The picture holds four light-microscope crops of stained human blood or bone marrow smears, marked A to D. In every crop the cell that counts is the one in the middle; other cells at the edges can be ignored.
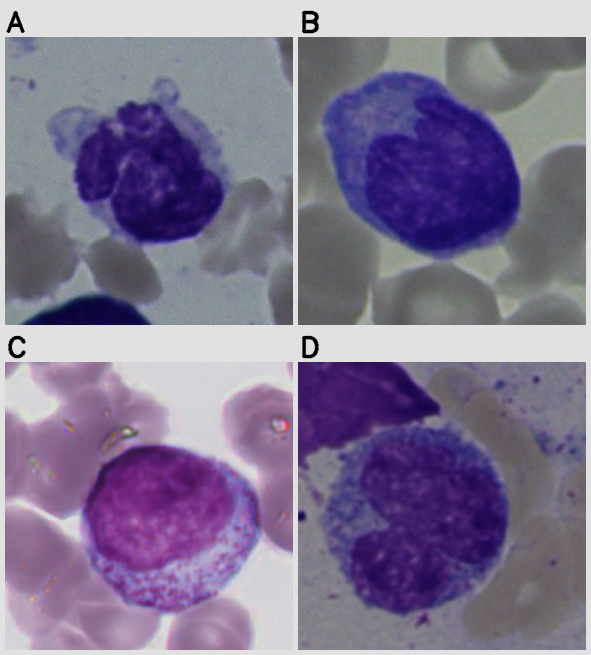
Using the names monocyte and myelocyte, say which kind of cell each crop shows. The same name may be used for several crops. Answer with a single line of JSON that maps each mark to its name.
{"A": "monocyte", "B": "monocyte", "C": "myelocyte", "D": "monocyte"}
